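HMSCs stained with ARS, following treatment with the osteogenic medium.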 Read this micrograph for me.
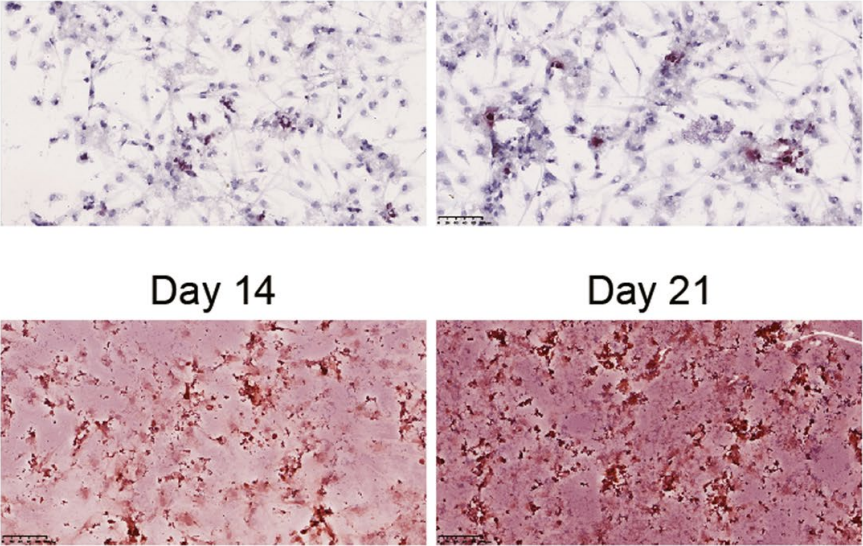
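In the upper images, the cells are spread thinly. They are spindle-shaped to stellate, with slender processes, and carry small oval purple-blue nuclei and pale cytoplasm. Scattered small clusters of dark red-purple granules lie among them. In the lower images, the cells are no longer distinct. A continuous pink-red stained layer covers the field, and many irregular dark red to brown deposits are strewn across it. These deposits are more numerous and denser in the last image, where they form larger confluent clumps over a deeper red background.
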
